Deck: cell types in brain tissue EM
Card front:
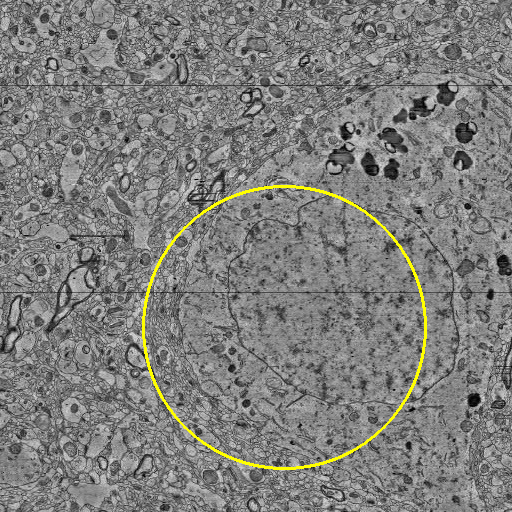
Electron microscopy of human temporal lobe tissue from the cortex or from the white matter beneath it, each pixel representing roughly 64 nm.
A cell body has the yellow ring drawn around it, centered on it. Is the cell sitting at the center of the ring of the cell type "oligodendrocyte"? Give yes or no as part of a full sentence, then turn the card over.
No, on this card the yellow ring is centered on a cell of a different type.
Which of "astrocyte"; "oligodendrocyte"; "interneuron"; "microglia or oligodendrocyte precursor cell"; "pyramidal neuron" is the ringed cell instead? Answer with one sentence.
Sitting at the ring centre is a pyramidal neuron.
